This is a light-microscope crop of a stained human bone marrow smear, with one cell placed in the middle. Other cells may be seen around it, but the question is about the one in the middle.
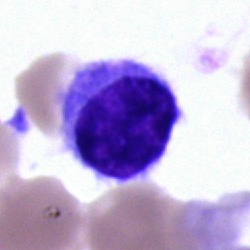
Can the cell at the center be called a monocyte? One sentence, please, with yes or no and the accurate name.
No, the central cell is reported as a hairy cell rather than as a monocyte.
